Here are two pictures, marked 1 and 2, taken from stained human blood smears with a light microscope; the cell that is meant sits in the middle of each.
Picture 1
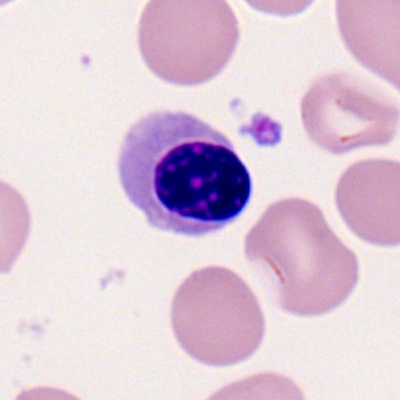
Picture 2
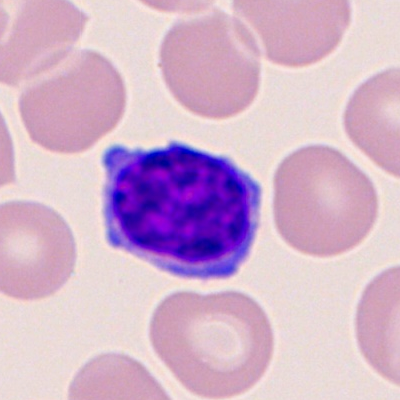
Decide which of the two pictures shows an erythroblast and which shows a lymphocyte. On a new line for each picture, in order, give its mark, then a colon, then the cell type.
1: erythroblast
2: lymphocyte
